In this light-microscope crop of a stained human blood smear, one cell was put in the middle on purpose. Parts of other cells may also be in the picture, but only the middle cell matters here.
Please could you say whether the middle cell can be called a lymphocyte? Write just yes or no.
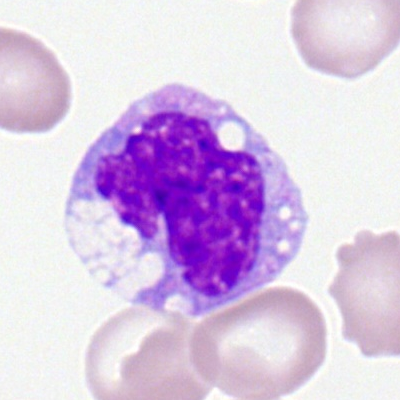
no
